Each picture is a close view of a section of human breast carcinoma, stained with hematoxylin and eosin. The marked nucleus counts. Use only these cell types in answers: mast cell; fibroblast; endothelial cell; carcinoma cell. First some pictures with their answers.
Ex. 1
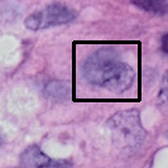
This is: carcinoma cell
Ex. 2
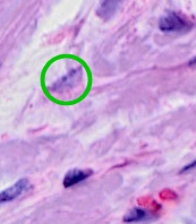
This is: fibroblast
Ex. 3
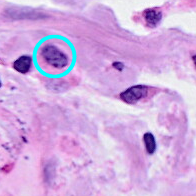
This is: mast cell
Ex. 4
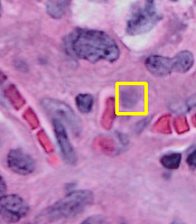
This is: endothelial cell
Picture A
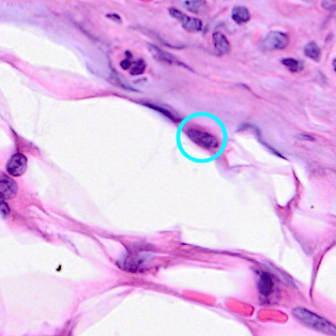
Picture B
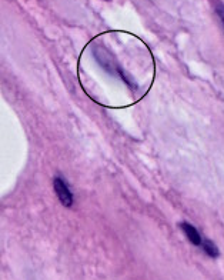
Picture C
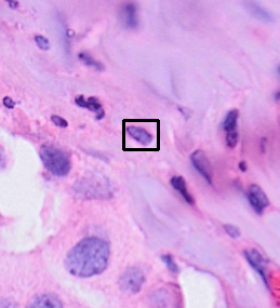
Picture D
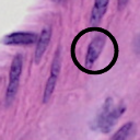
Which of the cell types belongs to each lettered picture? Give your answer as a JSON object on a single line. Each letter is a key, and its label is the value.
{"A": "mast cell", "B": "fibroblast", "C": "mast cell", "D": "endothelial cell"}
